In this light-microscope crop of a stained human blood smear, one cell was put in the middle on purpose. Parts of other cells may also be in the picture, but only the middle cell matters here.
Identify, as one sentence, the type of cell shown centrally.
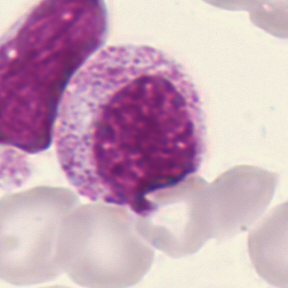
The cell featured at the centre of this crop is a myelocyte.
